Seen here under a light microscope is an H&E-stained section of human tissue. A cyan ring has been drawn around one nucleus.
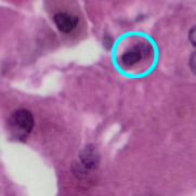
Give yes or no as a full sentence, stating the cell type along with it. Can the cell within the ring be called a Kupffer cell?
Yes, the cell within the ring is, by its type, a Kupffer cell.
